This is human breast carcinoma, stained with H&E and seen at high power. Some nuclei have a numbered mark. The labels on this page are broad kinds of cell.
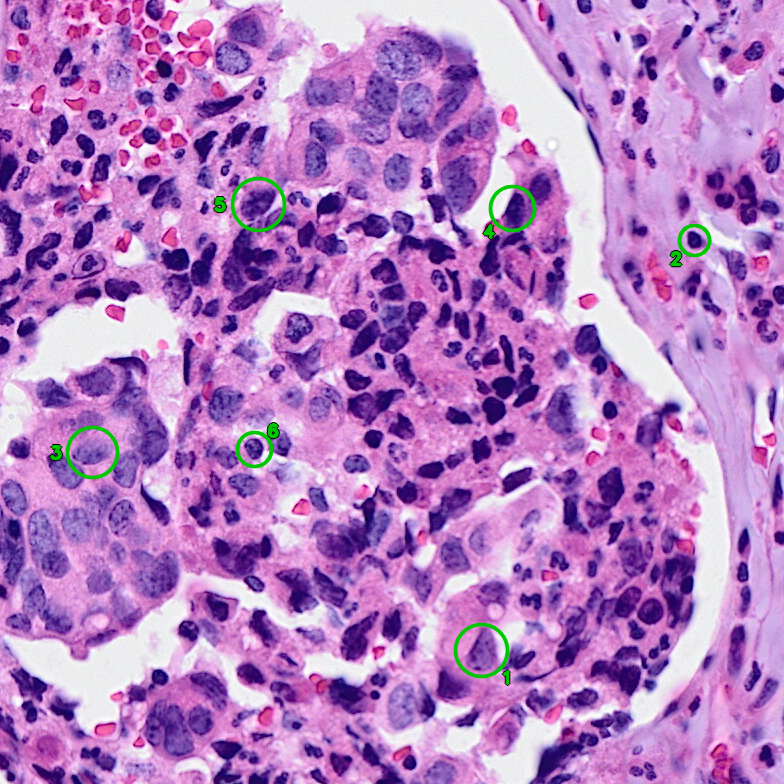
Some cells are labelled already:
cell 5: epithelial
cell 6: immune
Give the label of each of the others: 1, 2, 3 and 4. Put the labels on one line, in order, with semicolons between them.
epithelial; immune; epithelial; epithelial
